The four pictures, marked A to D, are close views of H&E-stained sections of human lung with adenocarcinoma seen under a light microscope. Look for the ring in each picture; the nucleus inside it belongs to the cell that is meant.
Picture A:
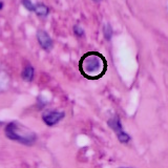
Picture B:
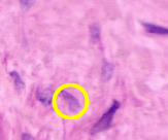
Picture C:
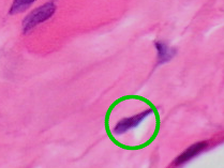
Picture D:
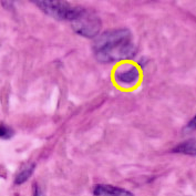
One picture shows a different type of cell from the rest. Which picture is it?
C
